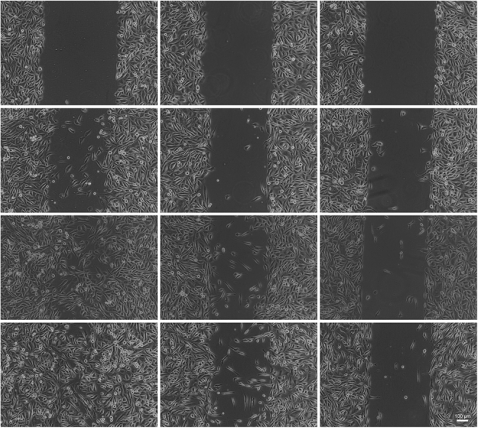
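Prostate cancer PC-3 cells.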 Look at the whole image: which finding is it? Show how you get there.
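Going down the rows, cells enter the band and it narrows. In the left column the band is largely filled by cells in the bottom row. So: wound closure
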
